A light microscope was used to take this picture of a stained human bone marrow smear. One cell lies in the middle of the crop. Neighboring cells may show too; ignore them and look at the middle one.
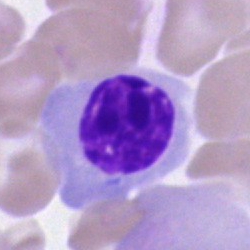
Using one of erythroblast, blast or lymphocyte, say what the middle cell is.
erythroblast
